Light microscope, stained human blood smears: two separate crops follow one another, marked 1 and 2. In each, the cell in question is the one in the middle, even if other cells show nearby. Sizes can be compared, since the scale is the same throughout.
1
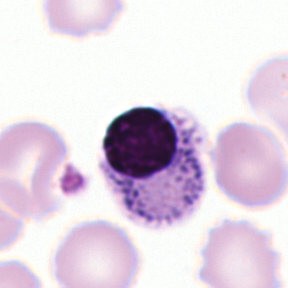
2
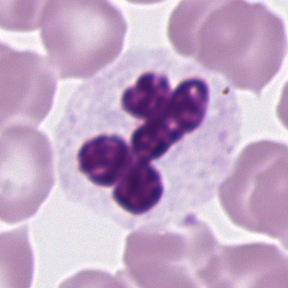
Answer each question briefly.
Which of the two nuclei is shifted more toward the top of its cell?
1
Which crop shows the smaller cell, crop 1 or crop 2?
1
